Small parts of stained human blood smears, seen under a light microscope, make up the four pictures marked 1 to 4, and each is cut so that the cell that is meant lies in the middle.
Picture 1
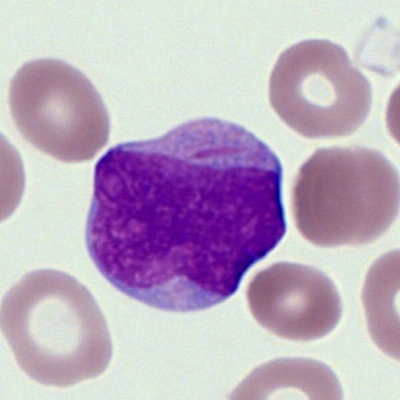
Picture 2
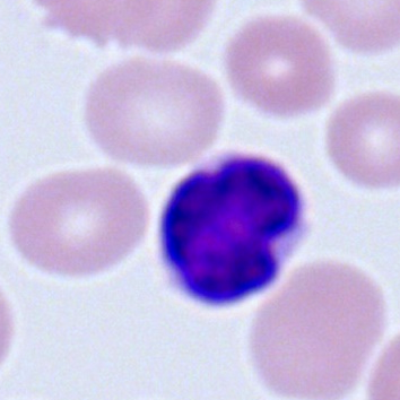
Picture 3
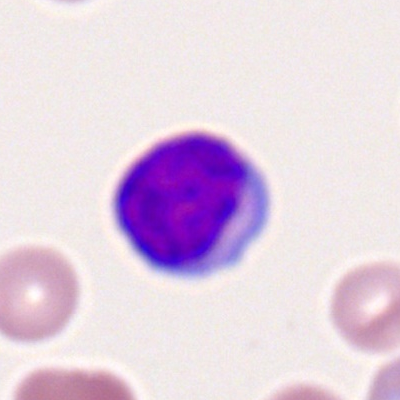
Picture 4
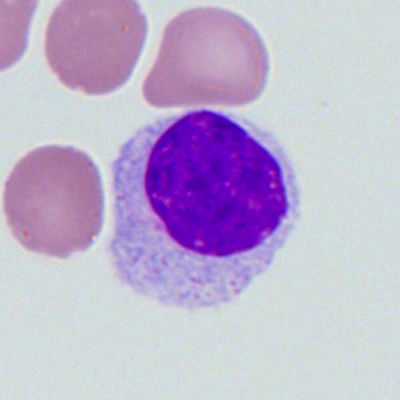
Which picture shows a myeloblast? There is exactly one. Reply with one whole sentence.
It is picture 1 that shows the myeloblast.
